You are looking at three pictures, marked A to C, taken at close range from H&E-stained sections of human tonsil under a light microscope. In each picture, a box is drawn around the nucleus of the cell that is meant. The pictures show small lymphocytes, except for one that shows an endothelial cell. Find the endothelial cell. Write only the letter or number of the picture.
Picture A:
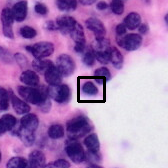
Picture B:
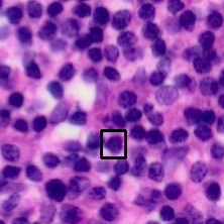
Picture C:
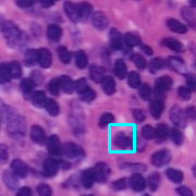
C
